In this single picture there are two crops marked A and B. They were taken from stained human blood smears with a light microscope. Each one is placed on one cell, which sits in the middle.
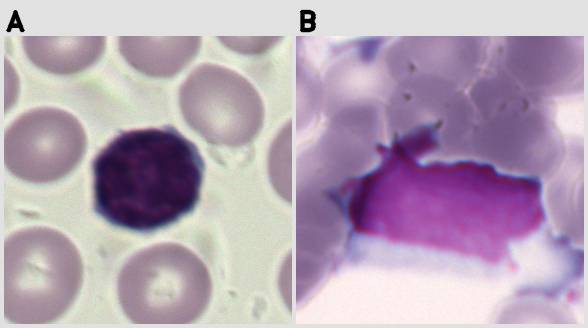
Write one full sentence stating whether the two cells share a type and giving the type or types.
Yes, both crops contain typical lymphocytes at their centres.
